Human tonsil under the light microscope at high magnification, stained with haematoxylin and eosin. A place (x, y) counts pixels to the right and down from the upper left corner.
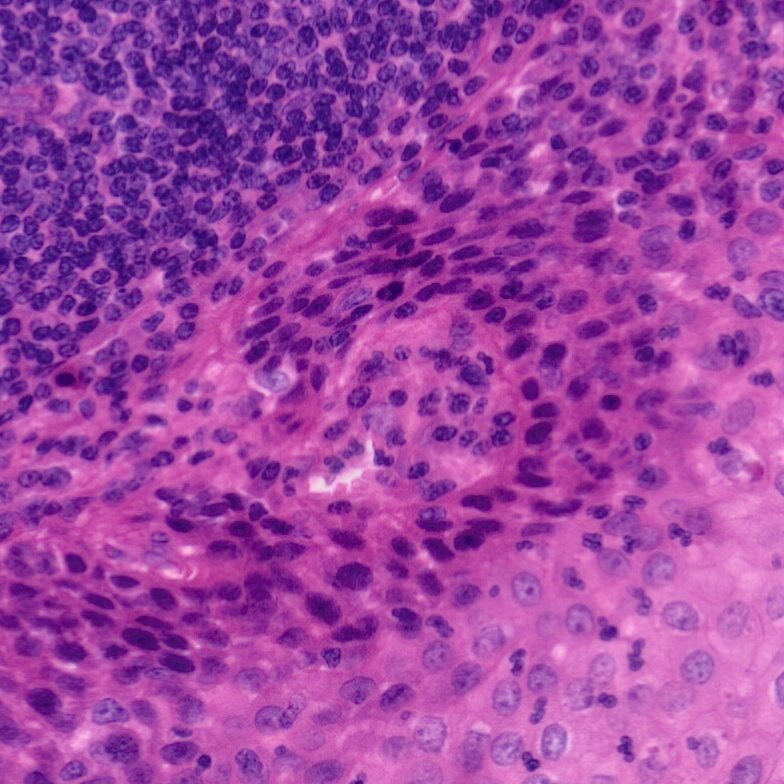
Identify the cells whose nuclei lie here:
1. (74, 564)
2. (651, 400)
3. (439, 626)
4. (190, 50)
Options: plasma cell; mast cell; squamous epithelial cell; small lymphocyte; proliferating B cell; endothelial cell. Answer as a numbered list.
1. squamous epithelial cell
2. squamous epithelial cell
3. squamous epithelial cell
4. small lymphocyte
